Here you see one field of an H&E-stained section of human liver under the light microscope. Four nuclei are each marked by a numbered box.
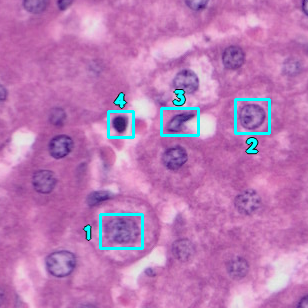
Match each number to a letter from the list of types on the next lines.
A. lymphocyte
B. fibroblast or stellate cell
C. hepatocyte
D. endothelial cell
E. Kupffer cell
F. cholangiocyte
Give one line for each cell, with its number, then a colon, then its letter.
1: C
2: C
3: D
4: A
